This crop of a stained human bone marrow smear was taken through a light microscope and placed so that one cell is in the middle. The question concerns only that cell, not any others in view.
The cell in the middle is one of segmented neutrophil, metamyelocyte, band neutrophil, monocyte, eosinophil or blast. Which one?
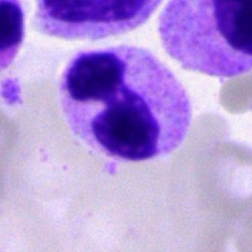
segmented neutrophil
